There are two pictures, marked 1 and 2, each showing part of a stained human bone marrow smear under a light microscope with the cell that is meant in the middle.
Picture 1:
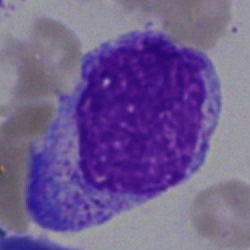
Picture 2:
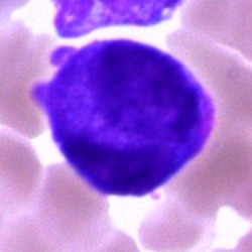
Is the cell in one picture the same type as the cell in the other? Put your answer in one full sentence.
No, the types are not the same, since picture 1 shows a promyelocyte and picture 2 a blast.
